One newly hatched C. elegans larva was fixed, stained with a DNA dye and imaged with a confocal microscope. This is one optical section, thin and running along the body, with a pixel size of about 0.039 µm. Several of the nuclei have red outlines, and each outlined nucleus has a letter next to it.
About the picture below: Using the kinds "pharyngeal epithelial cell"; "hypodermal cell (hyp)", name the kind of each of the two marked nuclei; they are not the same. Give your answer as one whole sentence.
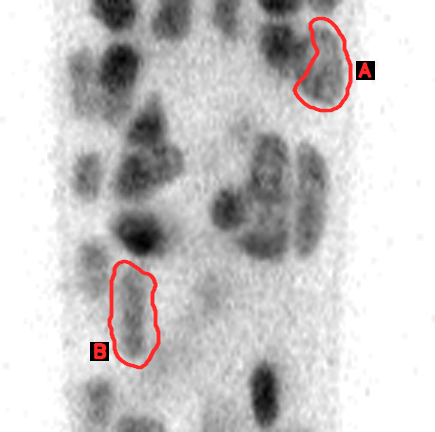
The nucleus A is that of a hypodermal cell (hyp), while B is that of a pharyngeal epithelial cell.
